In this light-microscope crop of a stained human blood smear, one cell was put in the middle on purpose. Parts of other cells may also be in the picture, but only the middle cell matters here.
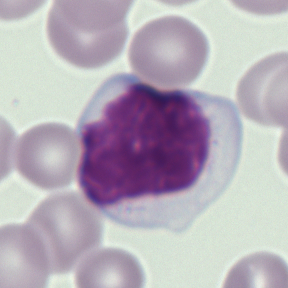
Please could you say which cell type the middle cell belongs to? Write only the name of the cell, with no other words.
large granular lymphocyte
